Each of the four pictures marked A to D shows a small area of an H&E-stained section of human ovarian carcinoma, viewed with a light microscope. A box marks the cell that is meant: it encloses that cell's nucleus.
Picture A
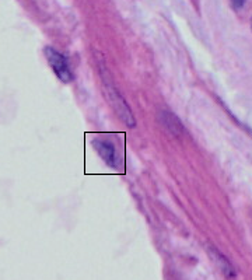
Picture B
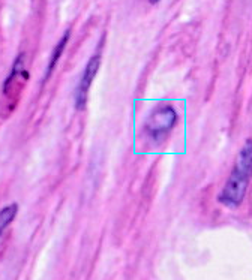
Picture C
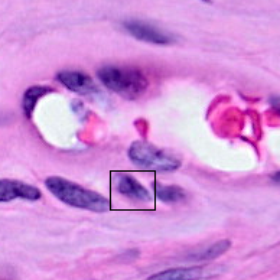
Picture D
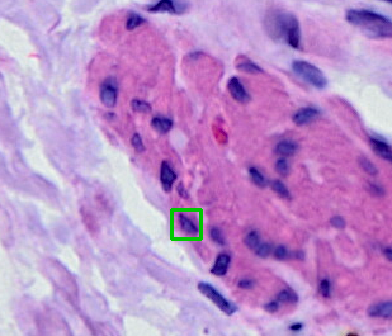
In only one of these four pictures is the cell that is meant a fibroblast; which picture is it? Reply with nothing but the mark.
B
